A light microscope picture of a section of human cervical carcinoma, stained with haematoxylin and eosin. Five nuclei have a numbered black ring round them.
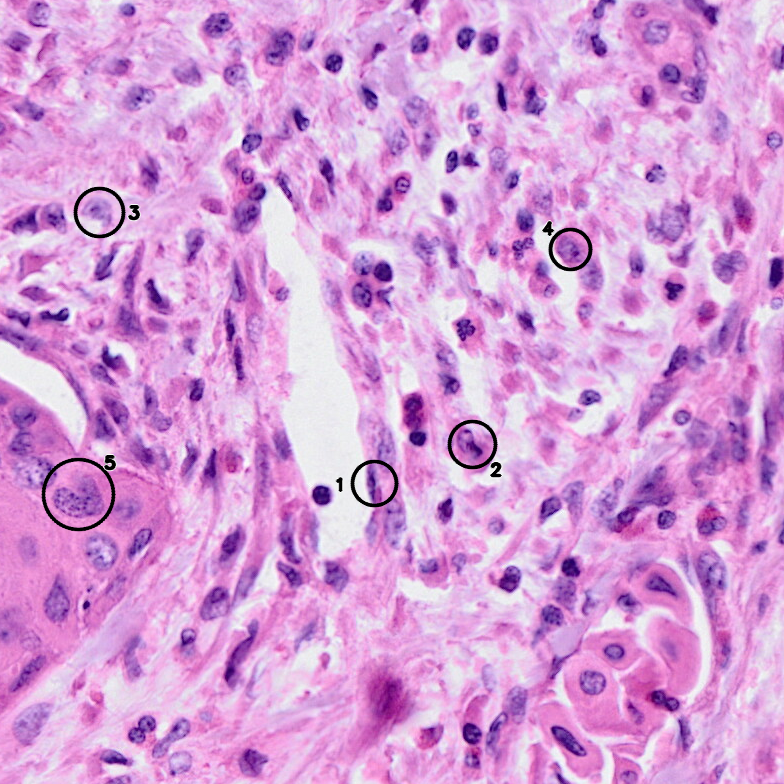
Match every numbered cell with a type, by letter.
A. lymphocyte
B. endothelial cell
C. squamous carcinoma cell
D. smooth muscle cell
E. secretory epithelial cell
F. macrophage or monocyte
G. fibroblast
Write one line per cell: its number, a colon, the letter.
1: B
2: F
3: G
4: F
5: C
